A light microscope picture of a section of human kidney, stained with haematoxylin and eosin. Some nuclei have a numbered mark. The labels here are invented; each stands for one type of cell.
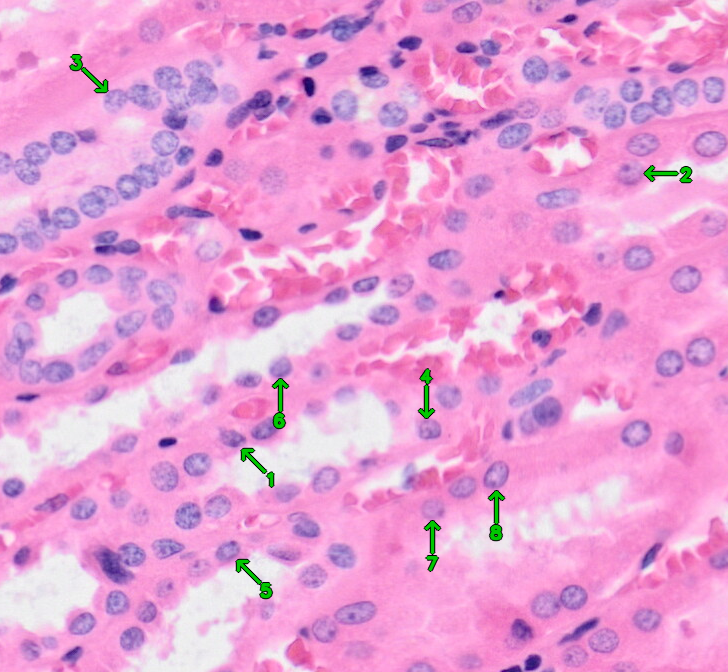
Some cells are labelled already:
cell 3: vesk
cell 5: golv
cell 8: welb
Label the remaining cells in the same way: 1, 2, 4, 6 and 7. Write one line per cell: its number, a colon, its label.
1: golv
2: welb
4: golv
6: golv
7: welb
